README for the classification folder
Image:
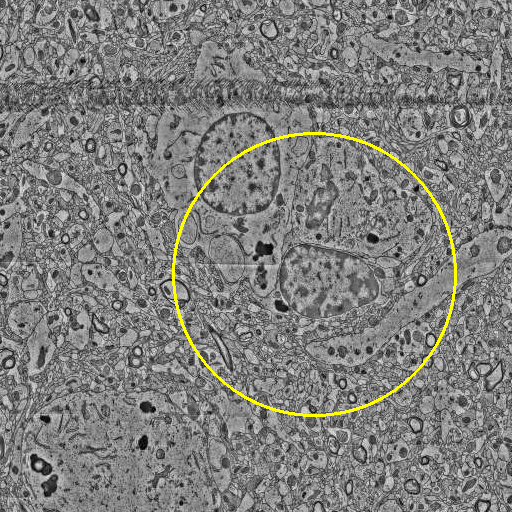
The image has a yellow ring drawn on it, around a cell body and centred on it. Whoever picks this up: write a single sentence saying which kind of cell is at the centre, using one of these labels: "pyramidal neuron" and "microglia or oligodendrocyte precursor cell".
This cell body is that of a microglial cell or oligodendrocyte precursor cell.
